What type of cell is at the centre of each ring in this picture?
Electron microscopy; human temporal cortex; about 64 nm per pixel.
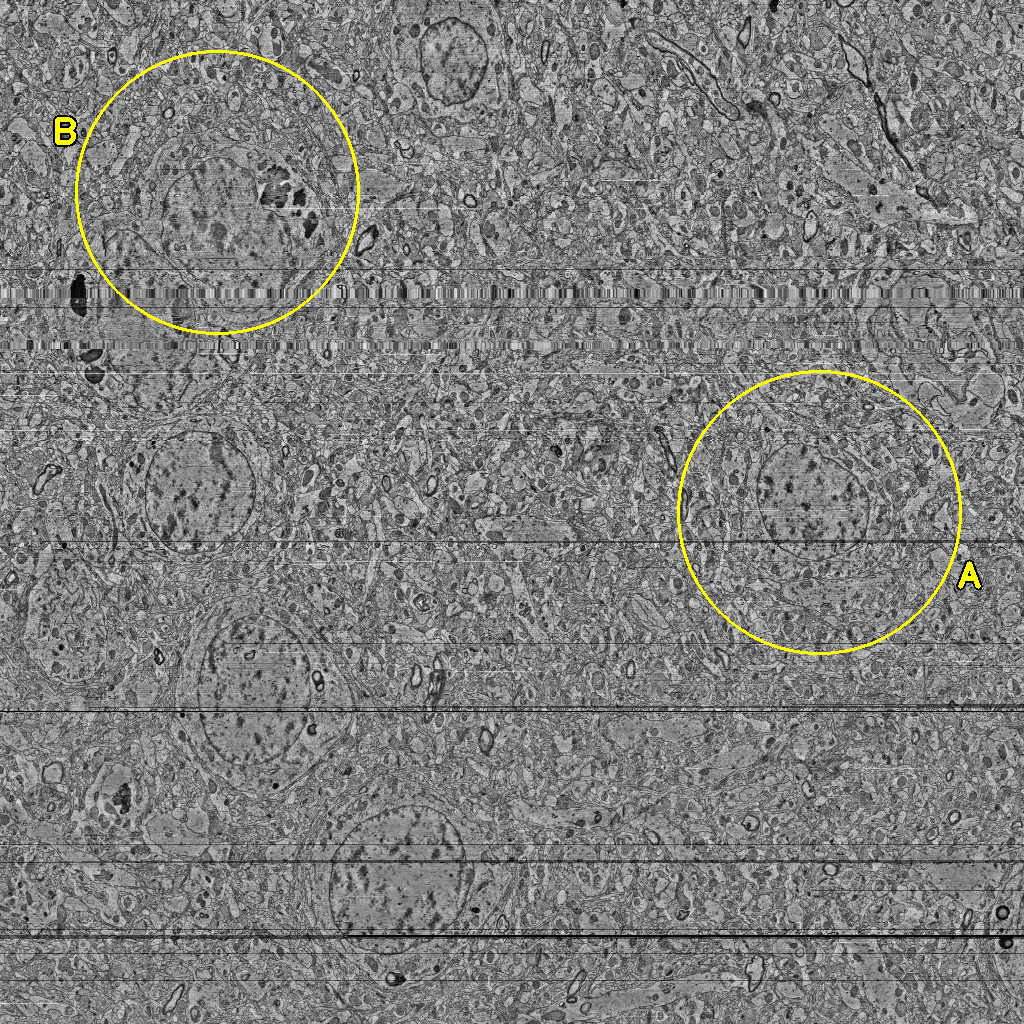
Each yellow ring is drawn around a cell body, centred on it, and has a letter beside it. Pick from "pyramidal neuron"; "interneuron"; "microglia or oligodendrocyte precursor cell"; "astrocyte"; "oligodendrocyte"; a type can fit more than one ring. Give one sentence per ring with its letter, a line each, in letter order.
The ring marked A is centred on a pyramidal neuron.
The ring marked B is centred on an interneuron.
